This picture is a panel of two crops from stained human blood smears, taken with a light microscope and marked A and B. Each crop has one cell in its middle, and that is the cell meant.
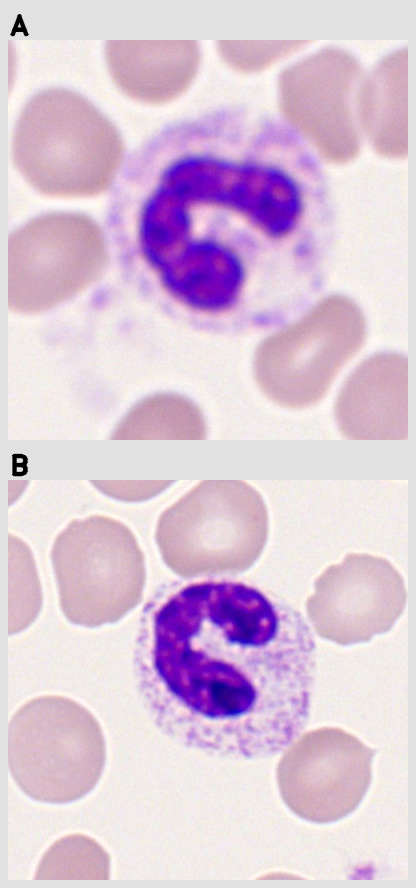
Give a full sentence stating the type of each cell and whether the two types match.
Yes, what both crops show at their centres are band neutrophils.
